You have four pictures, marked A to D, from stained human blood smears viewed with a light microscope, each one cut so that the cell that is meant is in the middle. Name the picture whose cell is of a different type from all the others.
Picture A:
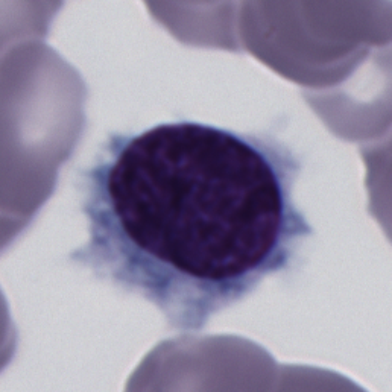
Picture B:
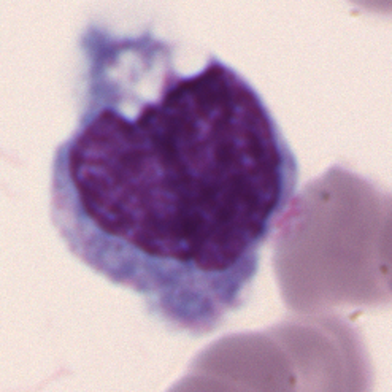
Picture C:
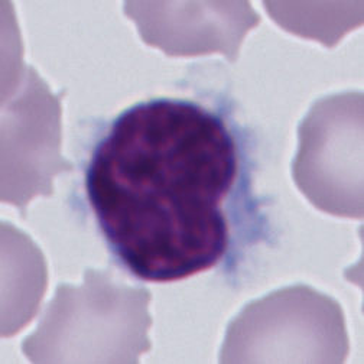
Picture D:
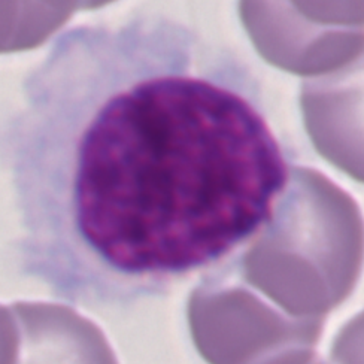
B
